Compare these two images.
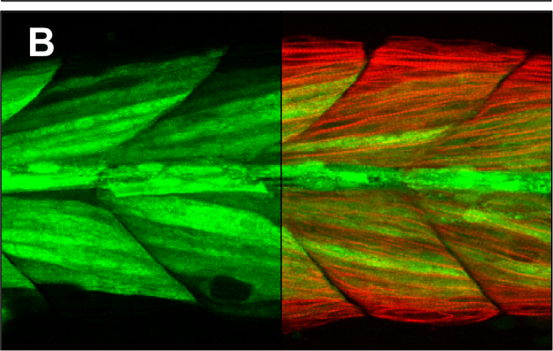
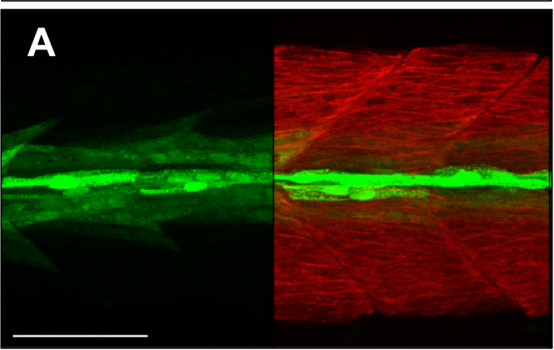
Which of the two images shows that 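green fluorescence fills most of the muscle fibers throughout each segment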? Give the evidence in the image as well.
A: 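The first image. First image: green fills the fibers over the whole height of every chevron segment. Second image: green is largely confined to a band along the horizontal midline, with the rest of the segments dark or faint.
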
